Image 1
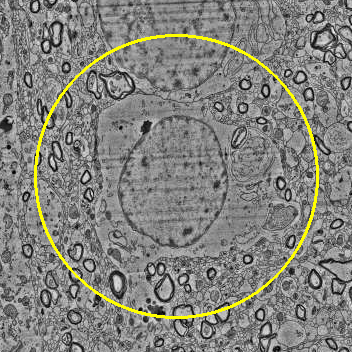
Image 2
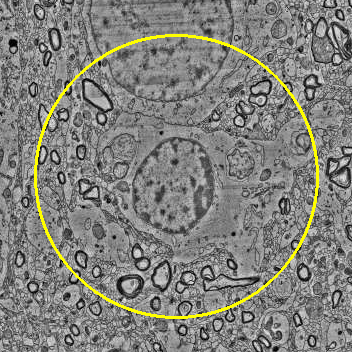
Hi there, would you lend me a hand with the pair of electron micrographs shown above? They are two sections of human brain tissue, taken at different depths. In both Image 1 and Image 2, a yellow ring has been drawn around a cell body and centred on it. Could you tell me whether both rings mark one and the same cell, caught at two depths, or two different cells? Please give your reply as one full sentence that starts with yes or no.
Yes, only one cell is involved, and both rings mark it.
